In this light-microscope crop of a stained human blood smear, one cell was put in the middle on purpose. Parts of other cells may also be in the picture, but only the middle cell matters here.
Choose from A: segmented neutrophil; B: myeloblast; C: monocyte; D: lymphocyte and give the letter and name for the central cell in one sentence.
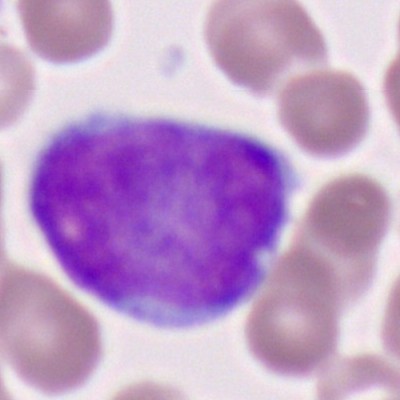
The central cell in this crop is a myeloblast, so the correct choice is option B.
